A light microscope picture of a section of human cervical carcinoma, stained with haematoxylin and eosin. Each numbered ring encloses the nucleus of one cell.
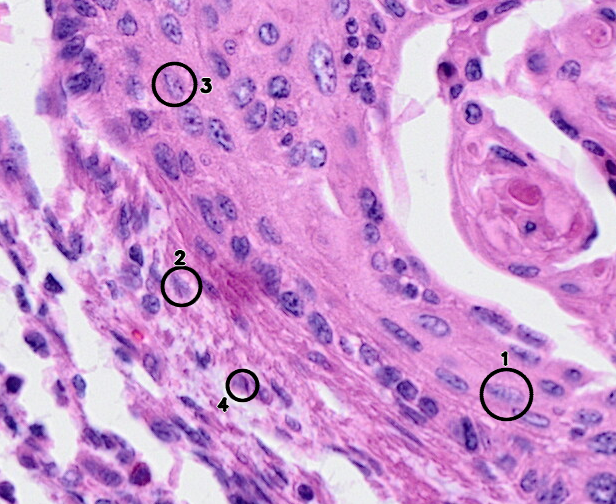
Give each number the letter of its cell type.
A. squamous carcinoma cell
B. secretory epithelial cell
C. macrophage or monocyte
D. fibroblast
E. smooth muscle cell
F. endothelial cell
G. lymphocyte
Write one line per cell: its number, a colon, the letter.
1: A
2: D
3: A
4: D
